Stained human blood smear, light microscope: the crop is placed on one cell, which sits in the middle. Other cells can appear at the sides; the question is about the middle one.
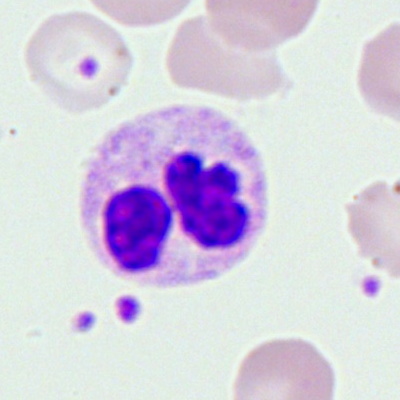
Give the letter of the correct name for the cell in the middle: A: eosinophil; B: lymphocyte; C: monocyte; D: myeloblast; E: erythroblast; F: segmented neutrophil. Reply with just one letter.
F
